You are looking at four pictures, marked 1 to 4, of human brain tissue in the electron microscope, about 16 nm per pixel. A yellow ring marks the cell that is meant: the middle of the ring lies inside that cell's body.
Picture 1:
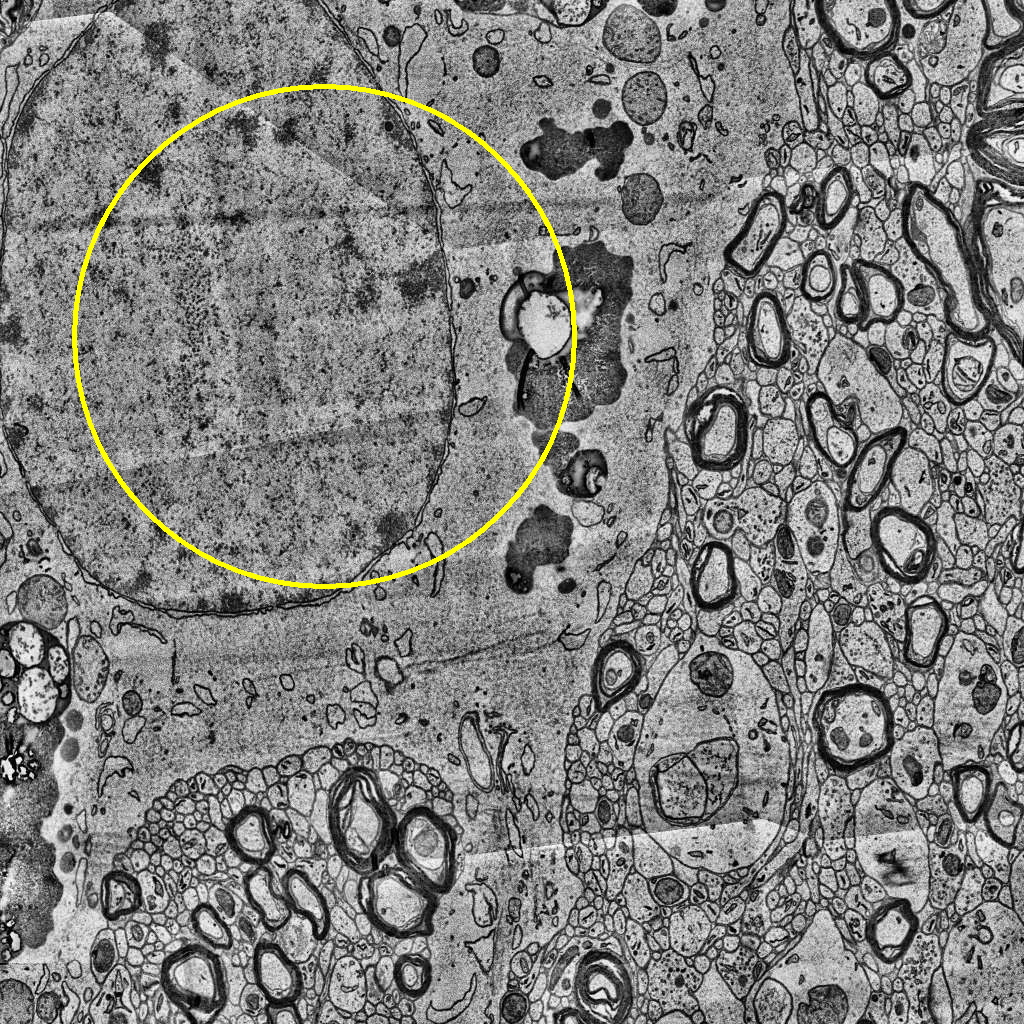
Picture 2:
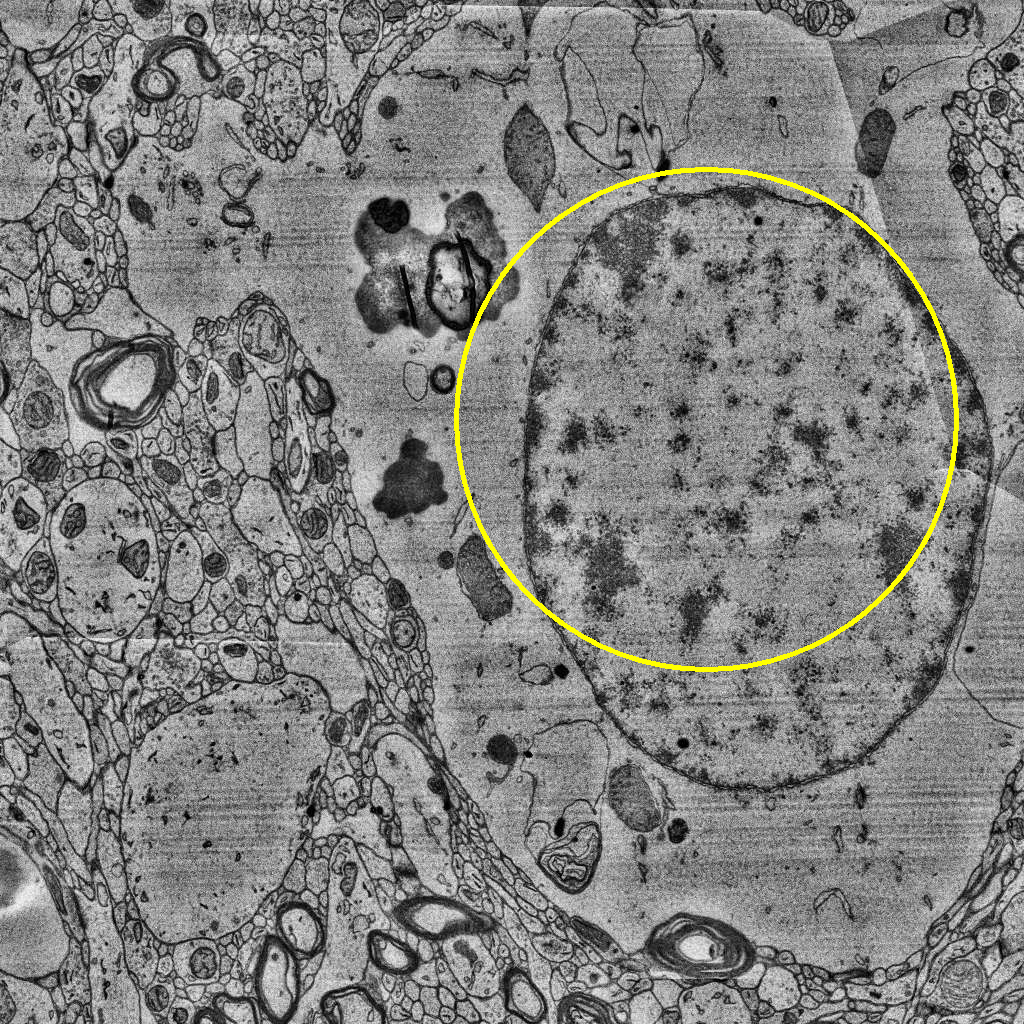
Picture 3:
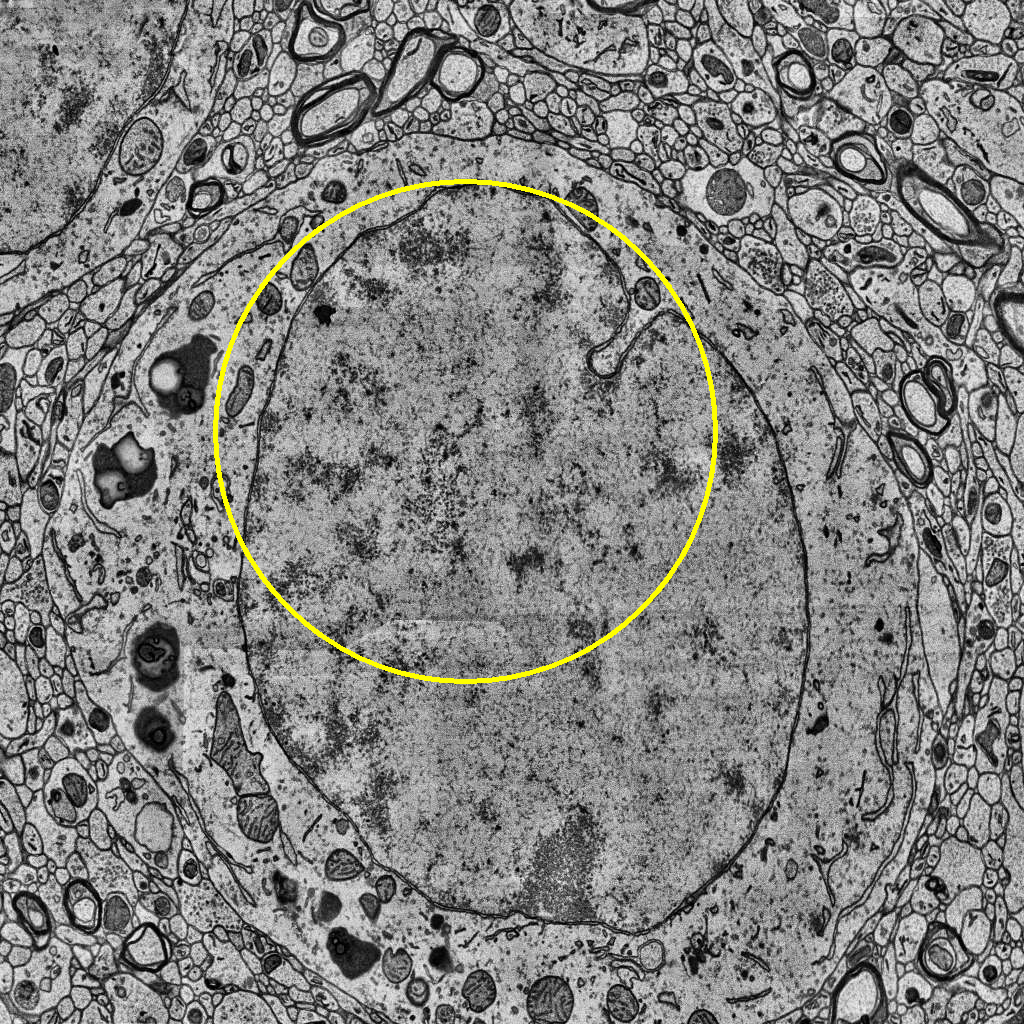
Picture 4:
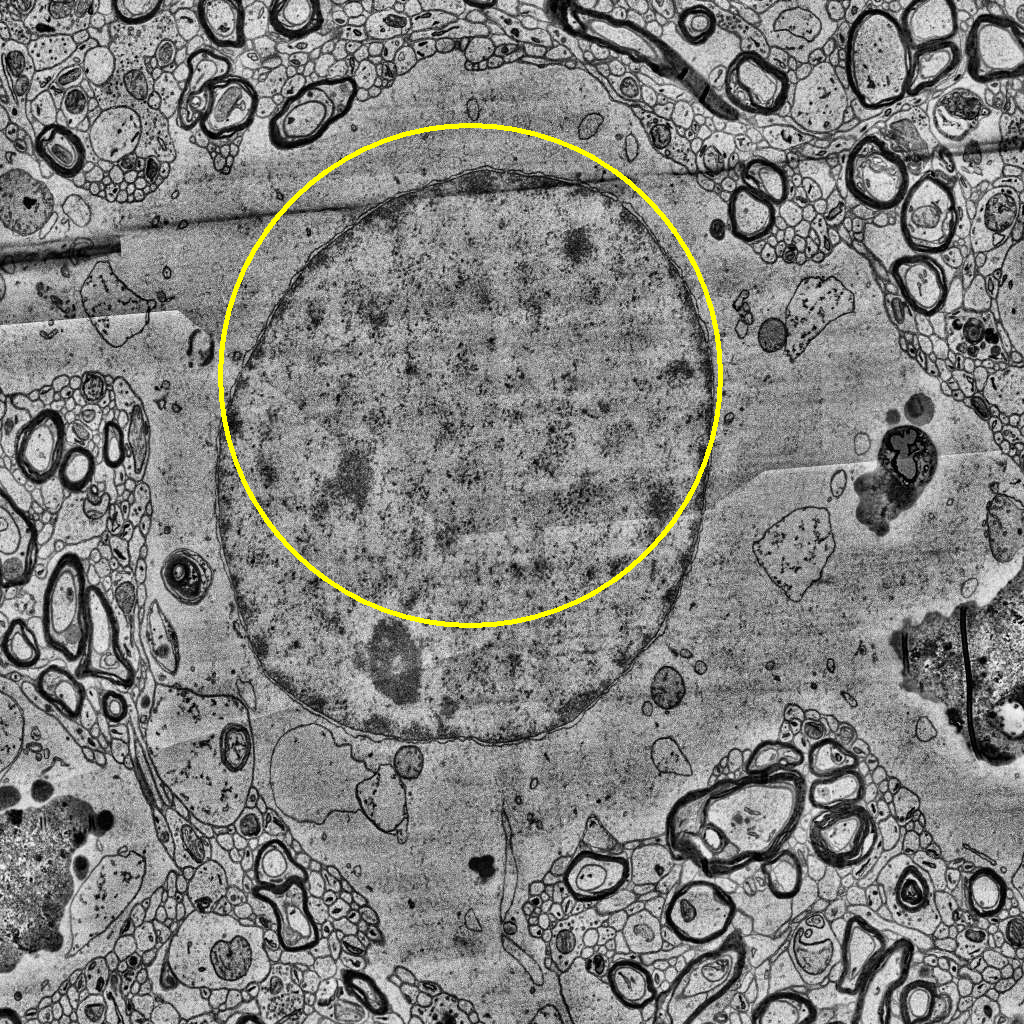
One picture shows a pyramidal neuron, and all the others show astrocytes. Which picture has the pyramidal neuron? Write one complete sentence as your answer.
The cell in picture 3 is the pyramidal neuron.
